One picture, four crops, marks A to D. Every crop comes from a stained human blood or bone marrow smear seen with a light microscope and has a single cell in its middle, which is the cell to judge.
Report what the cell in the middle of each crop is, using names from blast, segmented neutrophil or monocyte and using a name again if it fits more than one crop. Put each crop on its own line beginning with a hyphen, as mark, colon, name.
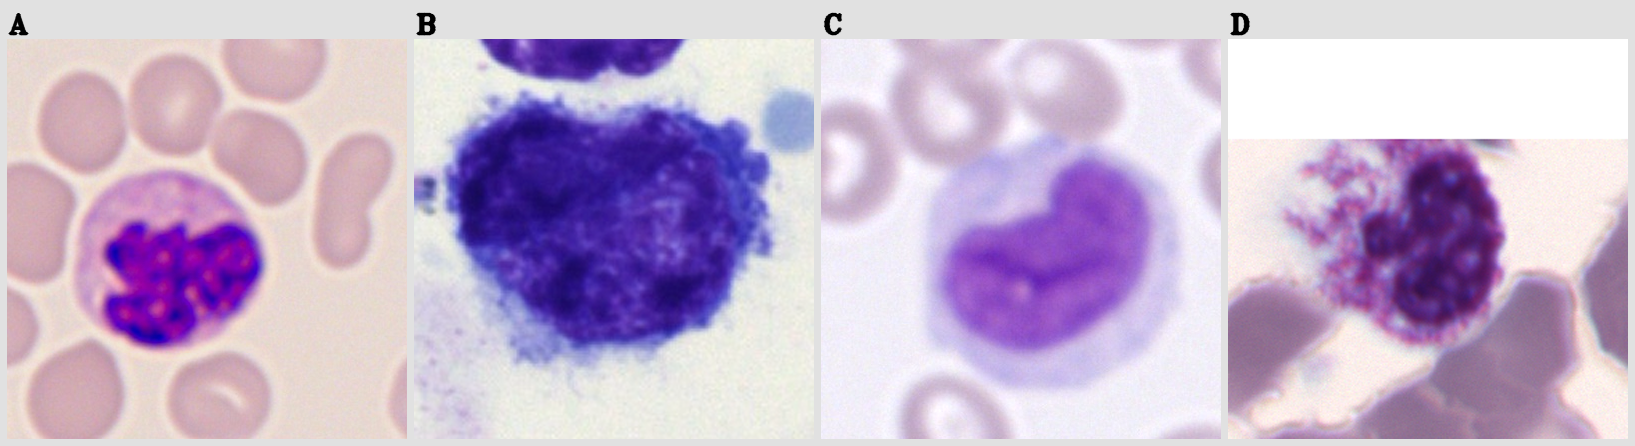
- A: segmented neutrophil
- B: blast
- C: monocyte
- D: segmented neutrophil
